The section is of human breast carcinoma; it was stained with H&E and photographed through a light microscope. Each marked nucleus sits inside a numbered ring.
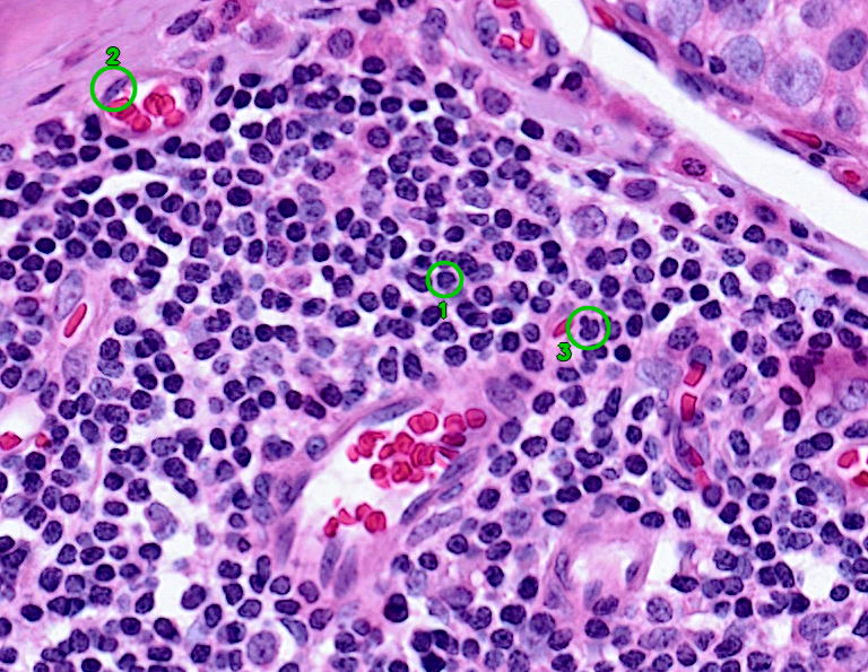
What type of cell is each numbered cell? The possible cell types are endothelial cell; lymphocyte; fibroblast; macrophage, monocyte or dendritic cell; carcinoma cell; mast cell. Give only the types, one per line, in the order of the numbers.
lymphocyte
endothelial cell
lymphocyte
